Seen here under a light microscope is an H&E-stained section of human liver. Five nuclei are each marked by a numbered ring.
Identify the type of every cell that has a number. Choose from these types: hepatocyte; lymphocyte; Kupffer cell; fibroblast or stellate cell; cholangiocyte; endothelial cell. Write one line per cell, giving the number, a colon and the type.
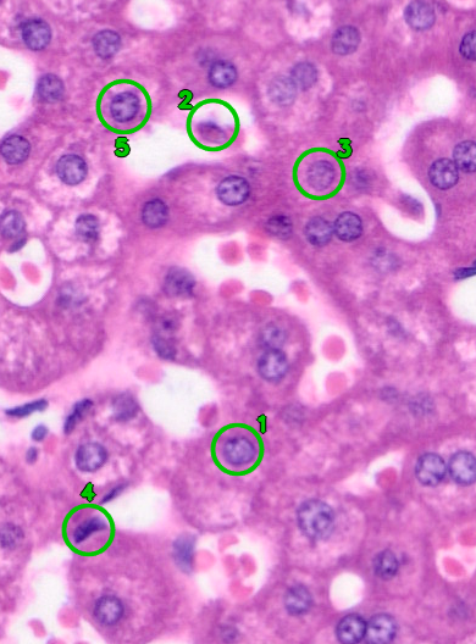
1: hepatocyte
2: Kupffer cell
3: hepatocyte
4: fibroblast or stellate cell
5: hepatocyte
